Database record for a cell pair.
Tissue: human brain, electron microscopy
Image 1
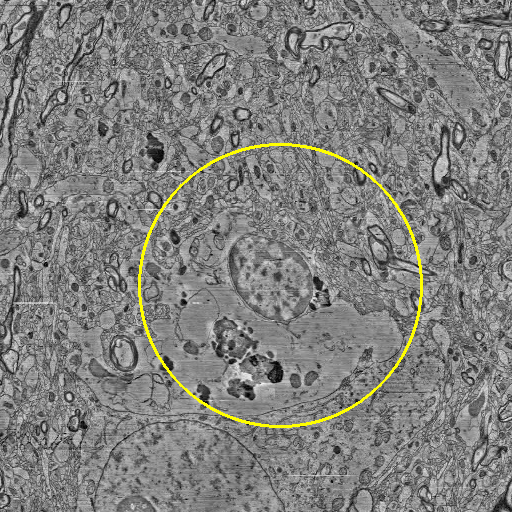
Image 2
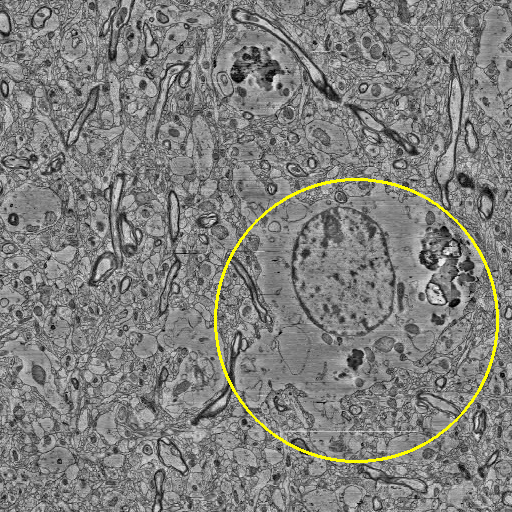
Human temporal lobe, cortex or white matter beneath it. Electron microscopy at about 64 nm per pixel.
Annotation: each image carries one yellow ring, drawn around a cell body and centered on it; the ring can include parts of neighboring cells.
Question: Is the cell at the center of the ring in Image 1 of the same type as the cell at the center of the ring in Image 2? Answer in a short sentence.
No, the cells are of two types.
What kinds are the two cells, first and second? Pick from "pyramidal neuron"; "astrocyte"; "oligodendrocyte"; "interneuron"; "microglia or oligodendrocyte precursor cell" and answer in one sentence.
The second picture holds an astrocyte in its ring, and the first holds a microglial cell or oligodendrocyte precursor cell.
